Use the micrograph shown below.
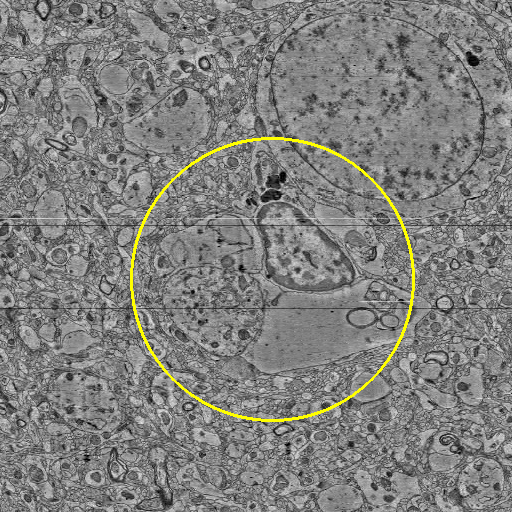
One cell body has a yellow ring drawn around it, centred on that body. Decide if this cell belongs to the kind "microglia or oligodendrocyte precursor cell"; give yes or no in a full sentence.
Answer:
Yes, the cell lying at the ring's centre in the micrograph is of the kind given.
